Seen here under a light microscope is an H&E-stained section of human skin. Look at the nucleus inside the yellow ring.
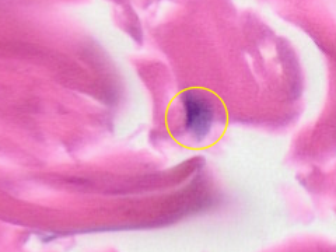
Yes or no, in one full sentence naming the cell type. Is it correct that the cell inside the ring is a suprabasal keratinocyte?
No, it is not a suprabasal keratinocyte but a fibroblast that the cell inside the ring represents.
